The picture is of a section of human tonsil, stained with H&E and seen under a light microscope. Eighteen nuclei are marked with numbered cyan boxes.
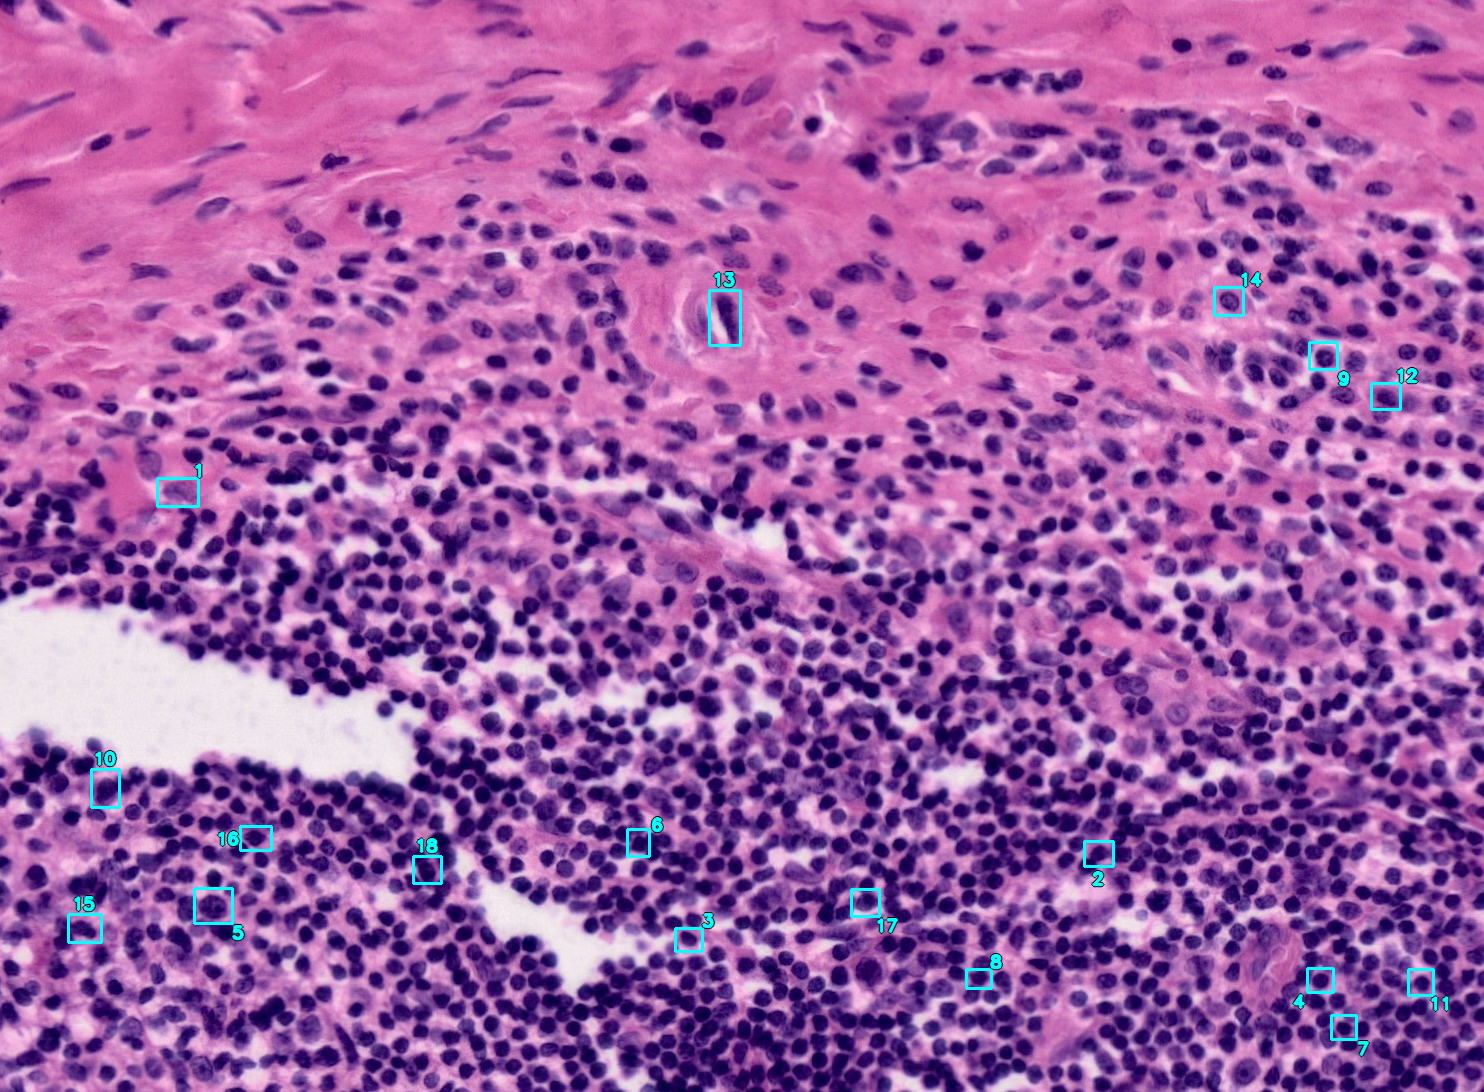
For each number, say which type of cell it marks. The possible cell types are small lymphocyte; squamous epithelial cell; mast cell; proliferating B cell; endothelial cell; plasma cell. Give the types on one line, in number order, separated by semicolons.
endothelial cell; small lymphocyte; small lymphocyte; small lymphocyte; proliferating B cell; small lymphocyte; small lymphocyte; small lymphocyte; plasma cell; proliferating B cell; small lymphocyte; plasma cell; endothelial cell; plasma cell; proliferating B cell; small lymphocyte; small lymphocyte; small lymphocyte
